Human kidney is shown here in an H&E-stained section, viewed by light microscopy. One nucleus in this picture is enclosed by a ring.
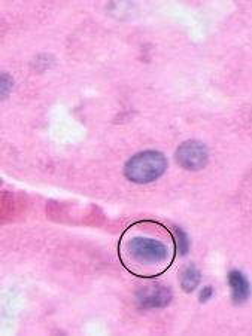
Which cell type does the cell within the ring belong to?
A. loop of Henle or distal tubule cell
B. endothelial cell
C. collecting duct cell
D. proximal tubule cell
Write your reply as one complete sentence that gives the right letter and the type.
Here the right answer is B, with the cell within the ring being an endothelial cell.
